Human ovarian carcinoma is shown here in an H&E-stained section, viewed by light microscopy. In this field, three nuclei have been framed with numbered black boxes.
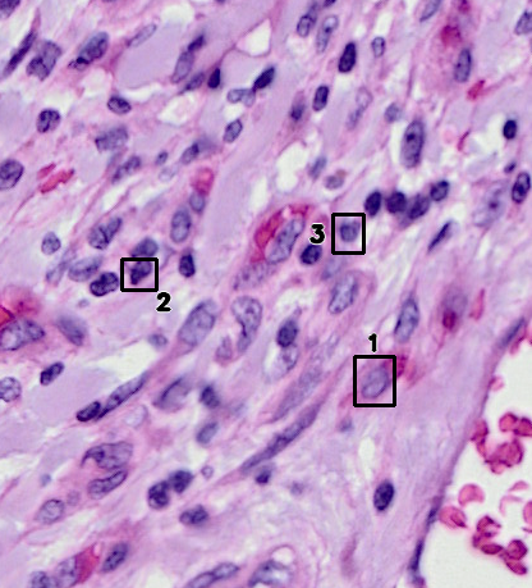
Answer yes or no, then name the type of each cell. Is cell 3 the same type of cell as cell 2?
Yes, the cells bearing numbers 3 and 2 are both lymphocytes.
